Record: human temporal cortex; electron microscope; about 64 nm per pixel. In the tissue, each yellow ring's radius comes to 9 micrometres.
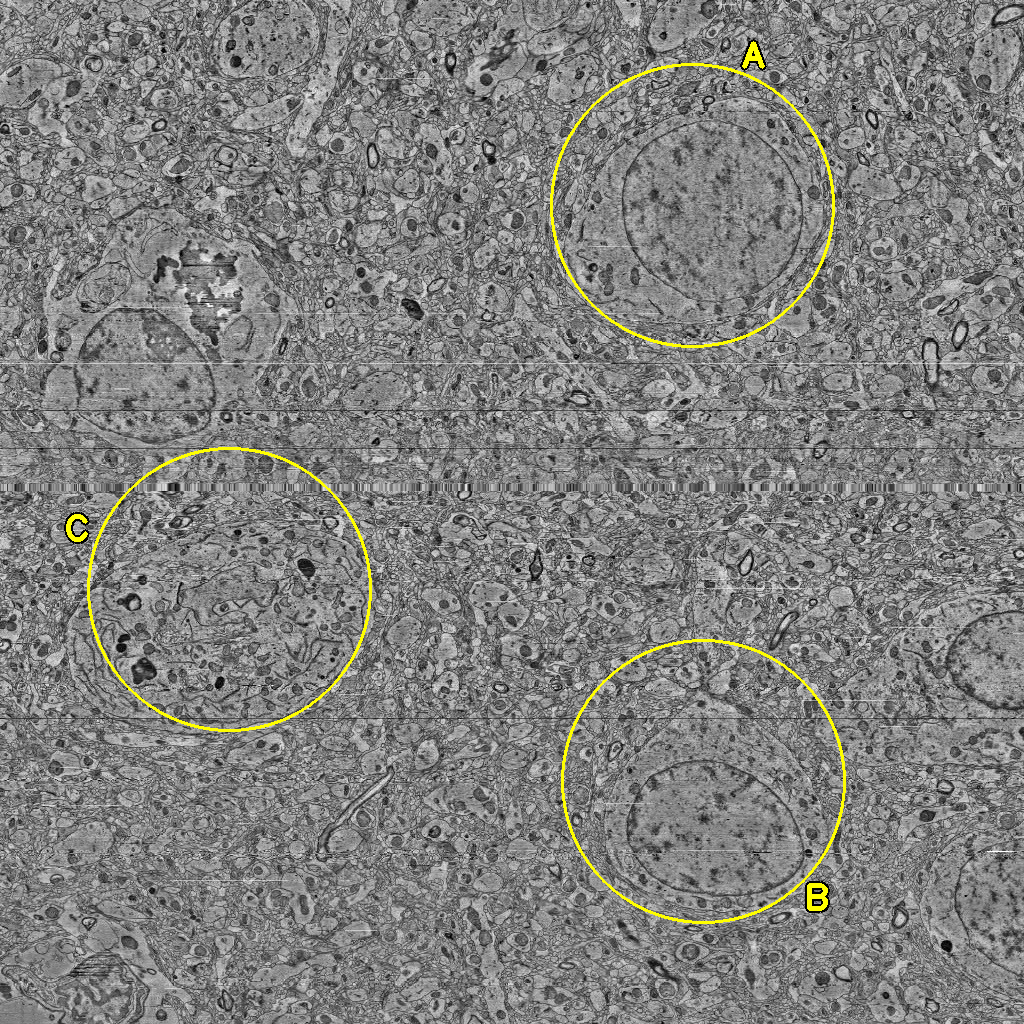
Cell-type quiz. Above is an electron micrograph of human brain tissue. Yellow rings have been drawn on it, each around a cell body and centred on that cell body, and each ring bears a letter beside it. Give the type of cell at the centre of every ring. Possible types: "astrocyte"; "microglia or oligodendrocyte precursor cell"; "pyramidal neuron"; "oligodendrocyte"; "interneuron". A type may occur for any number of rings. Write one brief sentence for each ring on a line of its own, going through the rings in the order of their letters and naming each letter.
Ring A is centred on the cell body of a pyramidal neuron.
Ring B is centred on the cell body of a pyramidal neuron.
Ring C is centred on the cell body of an interneuron.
